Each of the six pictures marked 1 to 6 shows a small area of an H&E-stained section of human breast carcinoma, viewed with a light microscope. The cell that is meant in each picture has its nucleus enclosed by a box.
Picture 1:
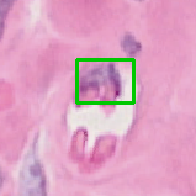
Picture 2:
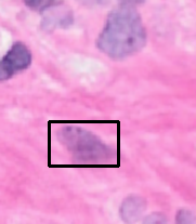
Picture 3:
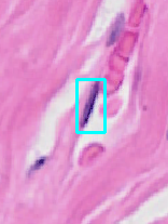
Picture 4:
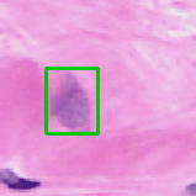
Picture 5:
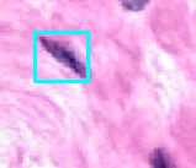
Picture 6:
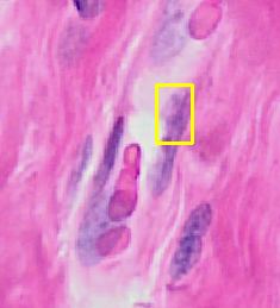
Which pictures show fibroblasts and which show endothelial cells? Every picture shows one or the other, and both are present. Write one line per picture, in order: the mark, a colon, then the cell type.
1: endothelial cell
2: fibroblast
3: endothelial cell
4: fibroblast
5: fibroblast
6: endothelial cell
